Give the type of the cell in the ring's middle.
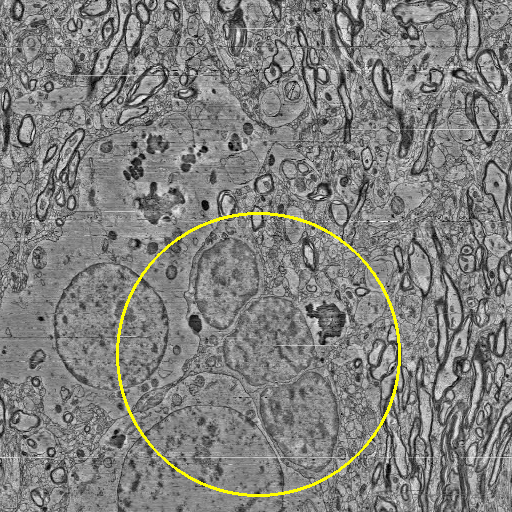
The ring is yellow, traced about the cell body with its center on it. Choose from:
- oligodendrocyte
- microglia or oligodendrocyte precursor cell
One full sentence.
Here, an oligodendrocyte is the cell lying at the center of the yellow ring.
